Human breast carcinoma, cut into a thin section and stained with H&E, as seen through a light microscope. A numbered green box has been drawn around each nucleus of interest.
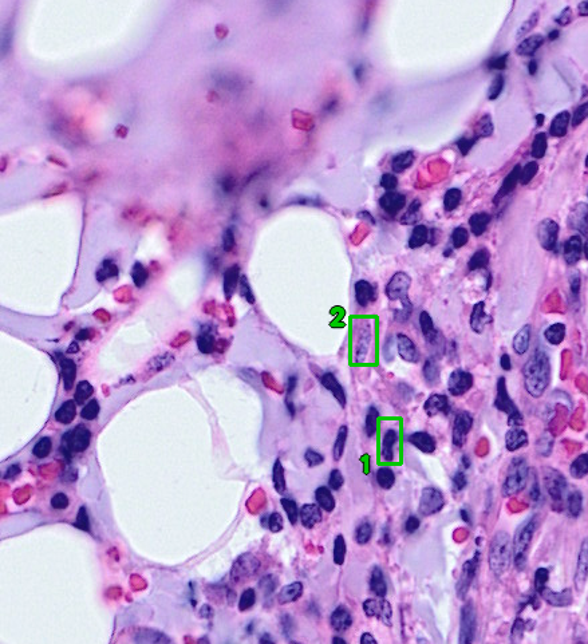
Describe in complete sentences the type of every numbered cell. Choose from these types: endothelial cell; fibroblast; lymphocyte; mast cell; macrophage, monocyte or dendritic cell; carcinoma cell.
Cell 1 is a lymphocyte and cell 2 is an endothelial cell.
